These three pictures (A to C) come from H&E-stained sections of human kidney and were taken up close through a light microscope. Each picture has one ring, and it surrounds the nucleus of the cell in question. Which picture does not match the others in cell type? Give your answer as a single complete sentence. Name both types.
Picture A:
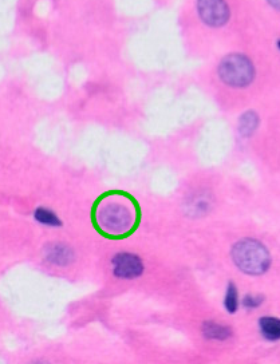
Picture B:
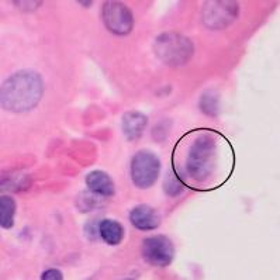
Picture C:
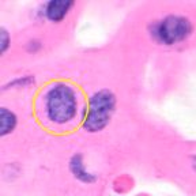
The different one is picture A; it shows a proximal tubule cell, whereas all the others show collecting duct cells.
